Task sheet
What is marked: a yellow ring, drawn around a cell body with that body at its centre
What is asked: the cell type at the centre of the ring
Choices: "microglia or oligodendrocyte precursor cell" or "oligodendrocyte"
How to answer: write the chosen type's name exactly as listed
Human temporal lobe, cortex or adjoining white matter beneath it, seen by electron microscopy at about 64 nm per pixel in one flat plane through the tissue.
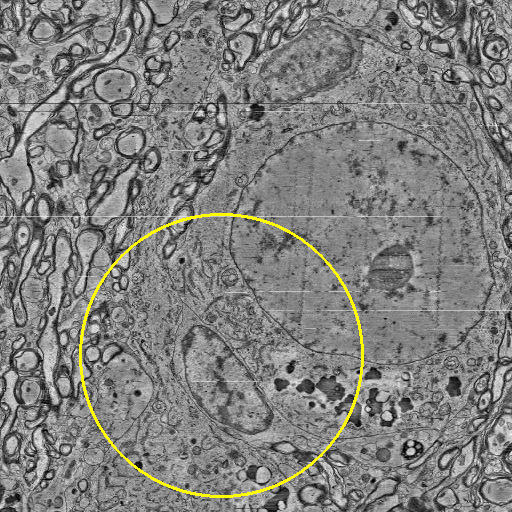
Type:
microglia or oligodendrocyte precursor cell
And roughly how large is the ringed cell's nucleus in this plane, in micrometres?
The nucleus is approximately 8 micrometres long but only about 4 wide, clearly longer than it is wide in this plane.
